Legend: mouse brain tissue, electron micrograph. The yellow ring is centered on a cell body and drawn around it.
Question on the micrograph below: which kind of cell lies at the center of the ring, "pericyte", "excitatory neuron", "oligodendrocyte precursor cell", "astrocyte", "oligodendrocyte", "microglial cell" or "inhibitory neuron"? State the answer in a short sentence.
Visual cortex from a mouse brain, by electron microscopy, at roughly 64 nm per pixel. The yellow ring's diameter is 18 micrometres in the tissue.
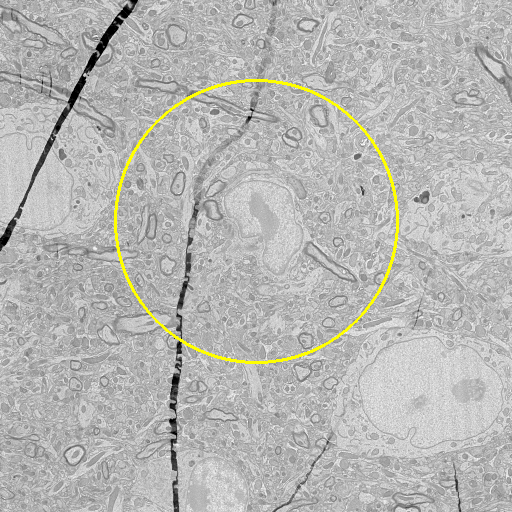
At the center of the ring lies an oligodendrocyte precursor cell.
